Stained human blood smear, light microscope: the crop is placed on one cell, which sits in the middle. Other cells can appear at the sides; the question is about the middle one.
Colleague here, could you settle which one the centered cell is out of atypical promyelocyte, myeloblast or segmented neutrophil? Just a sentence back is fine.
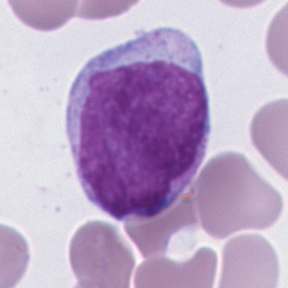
Positioned in the middle of the crop is an atypical promyelocyte.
